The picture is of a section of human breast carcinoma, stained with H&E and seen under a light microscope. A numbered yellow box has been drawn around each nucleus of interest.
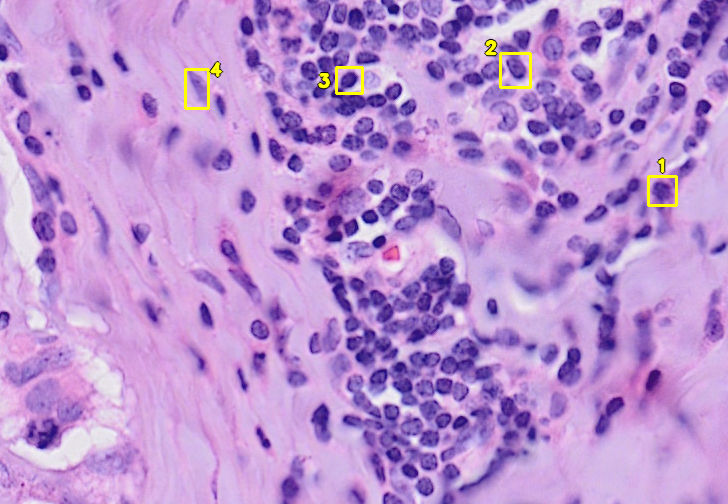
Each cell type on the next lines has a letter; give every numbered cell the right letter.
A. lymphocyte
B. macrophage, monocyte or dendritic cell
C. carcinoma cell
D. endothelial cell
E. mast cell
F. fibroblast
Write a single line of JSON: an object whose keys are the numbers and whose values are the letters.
{"1": "A", "2": "A", "3": "A", "4": "F"}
